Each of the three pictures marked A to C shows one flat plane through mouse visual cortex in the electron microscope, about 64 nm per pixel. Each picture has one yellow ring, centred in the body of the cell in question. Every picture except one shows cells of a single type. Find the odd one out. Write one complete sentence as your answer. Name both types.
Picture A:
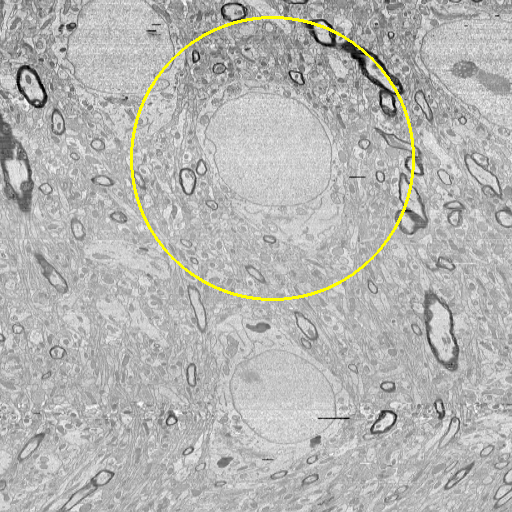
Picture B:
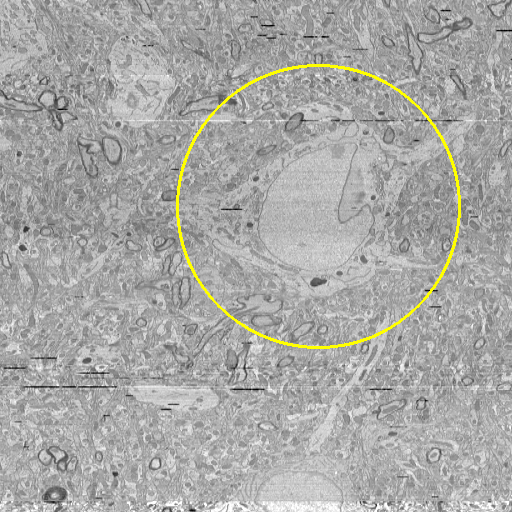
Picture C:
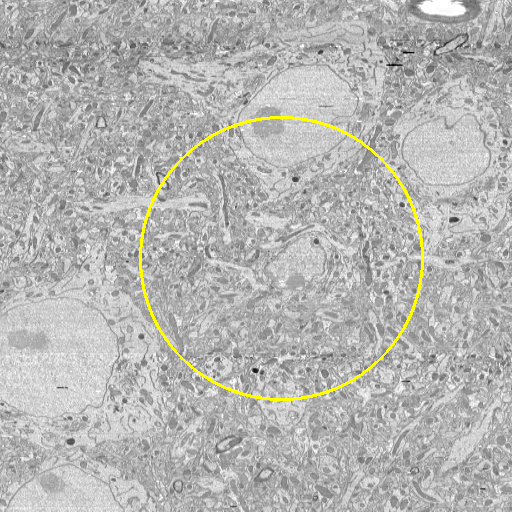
All pictures except C show excitatory neurons; picture C shows an oligodendrocyte precursor cell.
